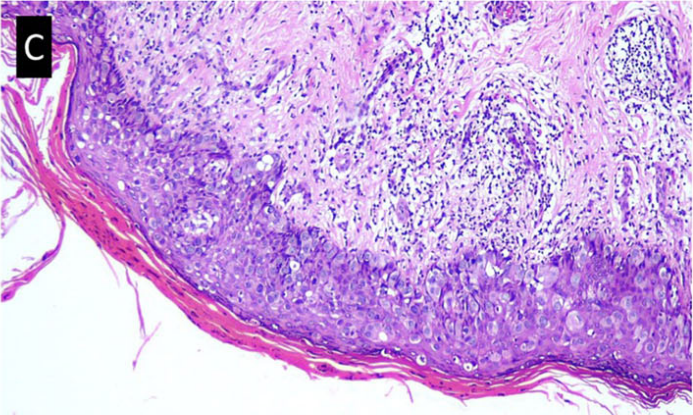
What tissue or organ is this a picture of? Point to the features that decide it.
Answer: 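A stratified epithelium with a flaky pink keratin layer on its surface. Dermis with fibrous tissue and inflammatory cells lies above the epithelium.
Conclusion: Skin epidermis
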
